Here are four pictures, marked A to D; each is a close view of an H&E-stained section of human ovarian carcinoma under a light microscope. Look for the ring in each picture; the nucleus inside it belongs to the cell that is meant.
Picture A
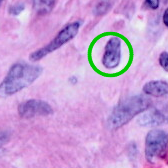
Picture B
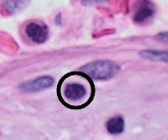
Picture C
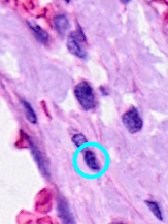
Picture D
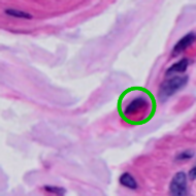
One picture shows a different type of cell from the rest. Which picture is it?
D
